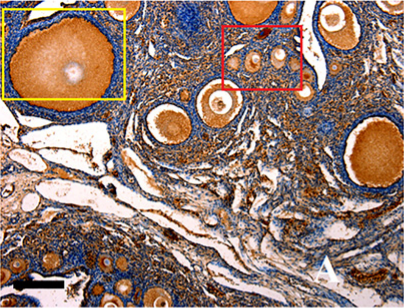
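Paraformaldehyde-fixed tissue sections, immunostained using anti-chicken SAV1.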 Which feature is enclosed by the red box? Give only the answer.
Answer: Primordial follicle and primary follicle.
